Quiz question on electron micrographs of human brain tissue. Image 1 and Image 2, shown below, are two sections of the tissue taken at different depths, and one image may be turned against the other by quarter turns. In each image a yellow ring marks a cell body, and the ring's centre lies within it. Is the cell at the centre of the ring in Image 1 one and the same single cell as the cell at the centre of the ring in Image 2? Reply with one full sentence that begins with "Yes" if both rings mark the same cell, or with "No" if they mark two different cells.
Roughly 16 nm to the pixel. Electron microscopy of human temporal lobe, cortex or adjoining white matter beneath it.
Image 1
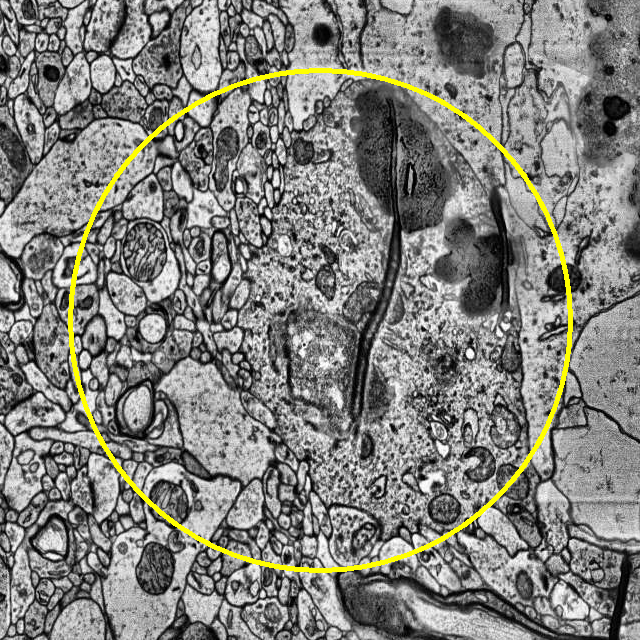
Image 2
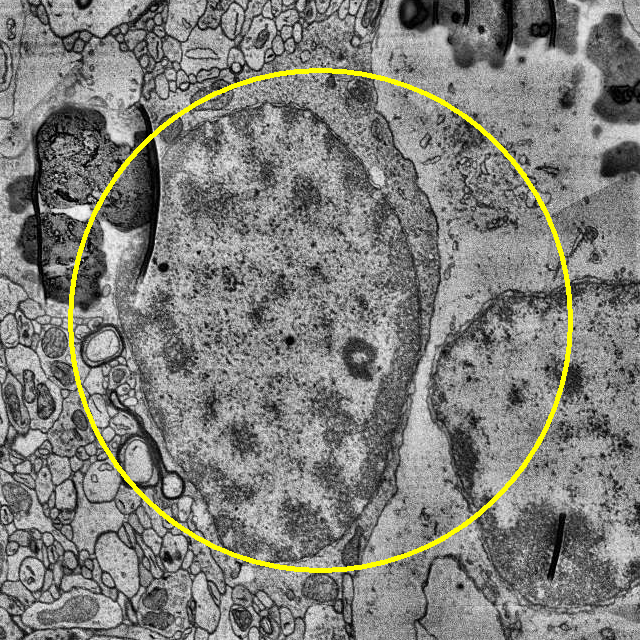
Yes, the cell inside the first ring is the cell inside the second.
